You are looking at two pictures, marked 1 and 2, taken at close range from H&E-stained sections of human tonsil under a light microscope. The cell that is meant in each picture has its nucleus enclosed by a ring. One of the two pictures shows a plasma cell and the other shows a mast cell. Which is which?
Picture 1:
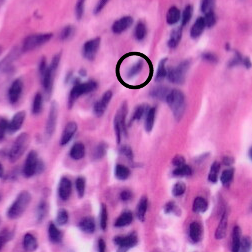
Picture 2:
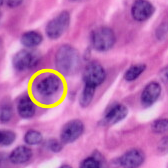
1: mast cell
2: plasma cell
